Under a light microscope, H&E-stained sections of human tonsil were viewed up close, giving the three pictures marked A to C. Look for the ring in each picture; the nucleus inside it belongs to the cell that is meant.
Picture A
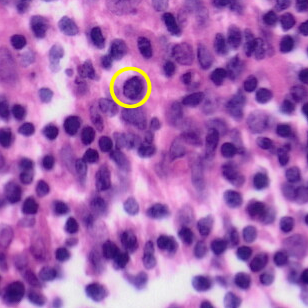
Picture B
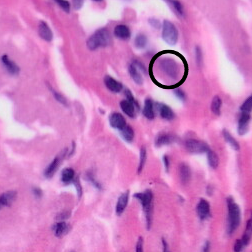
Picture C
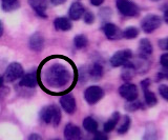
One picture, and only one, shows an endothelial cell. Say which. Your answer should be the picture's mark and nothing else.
B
